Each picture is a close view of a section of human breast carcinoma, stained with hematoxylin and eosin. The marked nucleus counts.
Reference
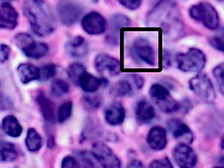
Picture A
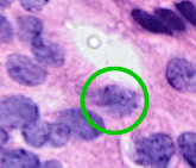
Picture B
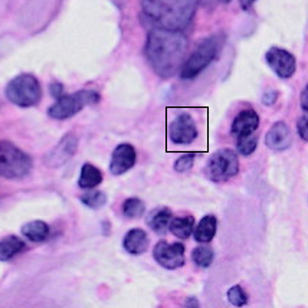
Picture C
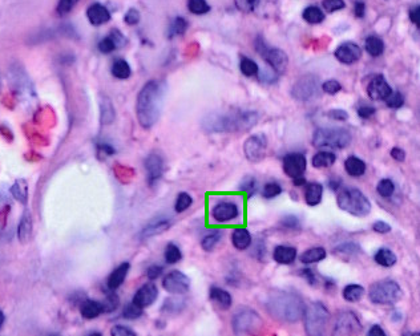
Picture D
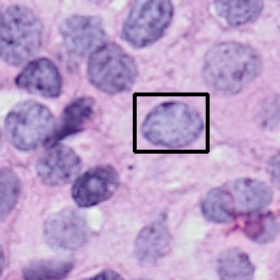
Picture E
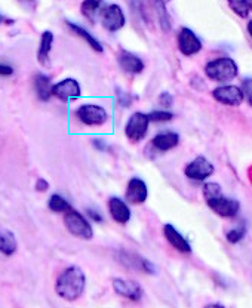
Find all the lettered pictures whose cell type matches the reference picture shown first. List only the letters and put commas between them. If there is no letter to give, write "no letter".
B, C, E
